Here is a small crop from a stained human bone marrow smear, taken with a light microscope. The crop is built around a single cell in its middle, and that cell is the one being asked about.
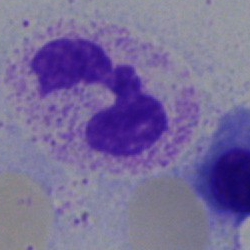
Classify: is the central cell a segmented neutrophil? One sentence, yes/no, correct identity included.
Yes, in the middle of the crop is a segmented neutrophil.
